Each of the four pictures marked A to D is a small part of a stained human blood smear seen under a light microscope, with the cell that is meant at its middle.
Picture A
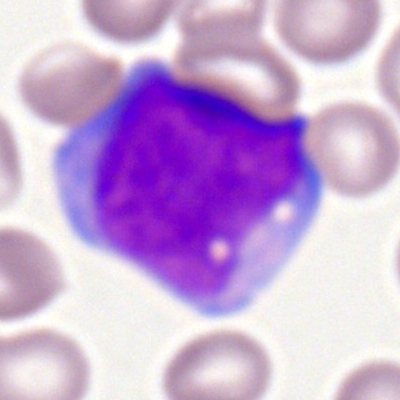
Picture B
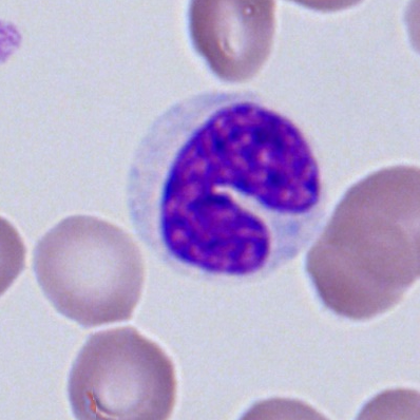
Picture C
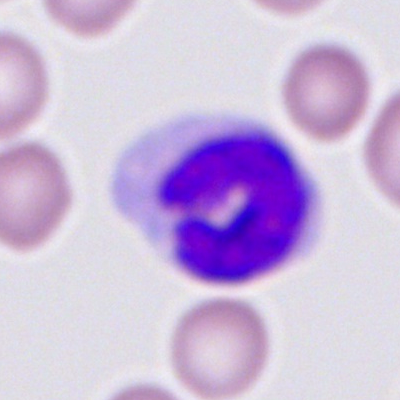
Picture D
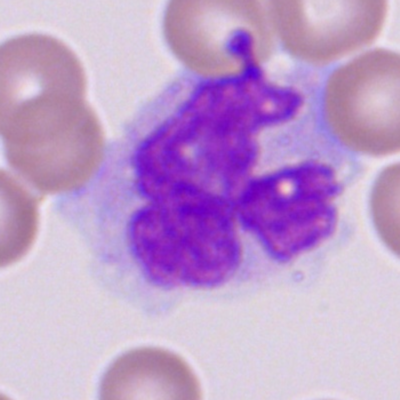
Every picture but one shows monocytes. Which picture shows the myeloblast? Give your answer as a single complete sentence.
Picture A is the one that shows the myeloblast.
